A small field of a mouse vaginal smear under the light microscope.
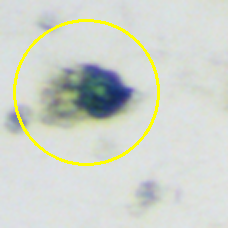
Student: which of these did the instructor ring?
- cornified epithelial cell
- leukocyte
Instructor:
The cell I ringed is a cornified epithelial cell.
